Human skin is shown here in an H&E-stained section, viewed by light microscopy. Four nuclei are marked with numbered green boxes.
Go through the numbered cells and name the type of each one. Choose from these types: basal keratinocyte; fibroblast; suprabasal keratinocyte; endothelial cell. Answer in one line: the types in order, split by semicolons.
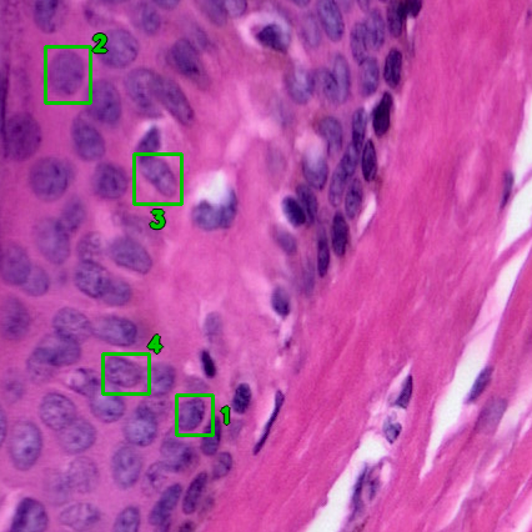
basal keratinocyte; suprabasal keratinocyte; basal keratinocyte; basal keratinocyte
